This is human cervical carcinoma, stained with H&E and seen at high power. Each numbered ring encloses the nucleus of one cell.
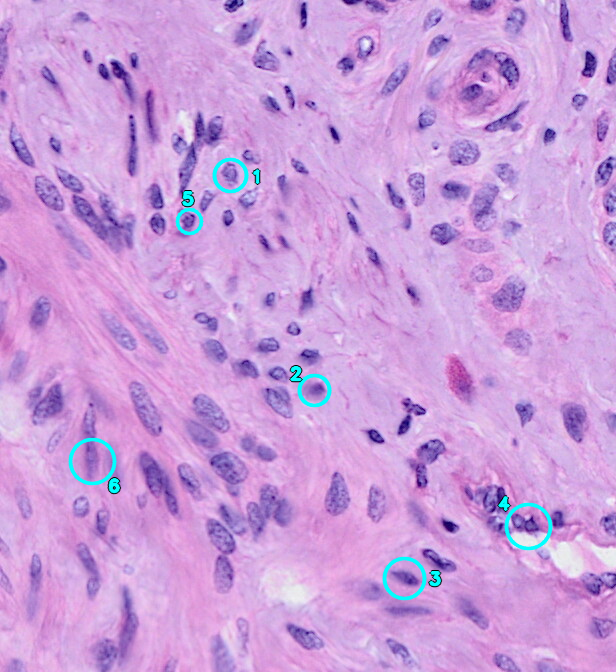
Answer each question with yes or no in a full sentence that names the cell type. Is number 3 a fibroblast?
Yes, in the section, number 3 is a fibroblast.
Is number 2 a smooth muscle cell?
No, cell 2 represents a fibroblast rather than a smooth muscle cell.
